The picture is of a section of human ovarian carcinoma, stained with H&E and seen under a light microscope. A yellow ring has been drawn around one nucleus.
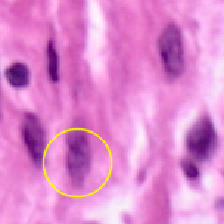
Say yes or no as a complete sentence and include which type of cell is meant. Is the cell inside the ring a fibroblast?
Yes, the cell inside the ring in this section represents a fibroblast.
